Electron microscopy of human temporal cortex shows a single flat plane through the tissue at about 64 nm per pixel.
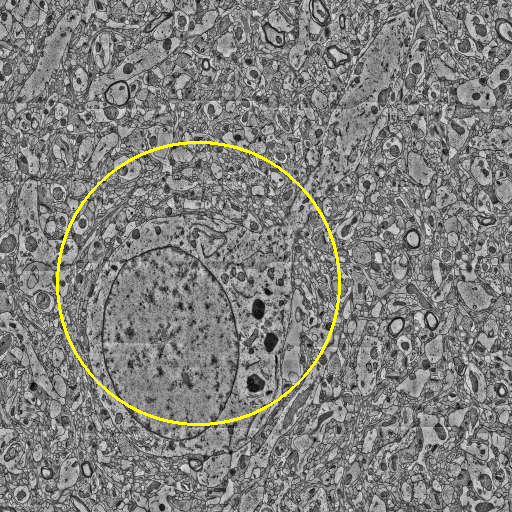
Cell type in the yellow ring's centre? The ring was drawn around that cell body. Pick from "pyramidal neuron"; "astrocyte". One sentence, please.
The ringed cell body is that of a pyramidal neuron.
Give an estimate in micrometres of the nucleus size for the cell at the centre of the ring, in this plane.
About 12 micrometres by about 9 micrometres in this plane.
